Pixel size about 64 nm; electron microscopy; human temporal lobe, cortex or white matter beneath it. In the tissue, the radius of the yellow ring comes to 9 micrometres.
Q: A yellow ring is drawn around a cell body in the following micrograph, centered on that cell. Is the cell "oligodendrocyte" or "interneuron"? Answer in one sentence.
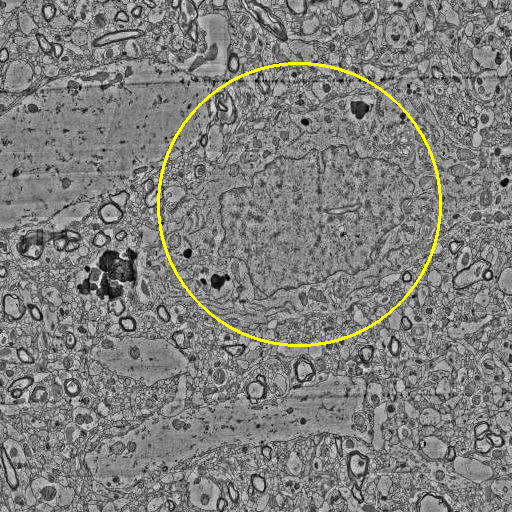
The cell in the center of the ring is an interneuron.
